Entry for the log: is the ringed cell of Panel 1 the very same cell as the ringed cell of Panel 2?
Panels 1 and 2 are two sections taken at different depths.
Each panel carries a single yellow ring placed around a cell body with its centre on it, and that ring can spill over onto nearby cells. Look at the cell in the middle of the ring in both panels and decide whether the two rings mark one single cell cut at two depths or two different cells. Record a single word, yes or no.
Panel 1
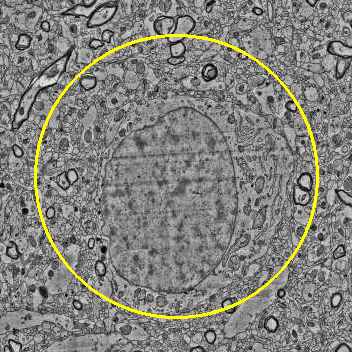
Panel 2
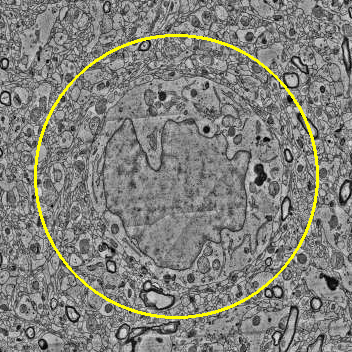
no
